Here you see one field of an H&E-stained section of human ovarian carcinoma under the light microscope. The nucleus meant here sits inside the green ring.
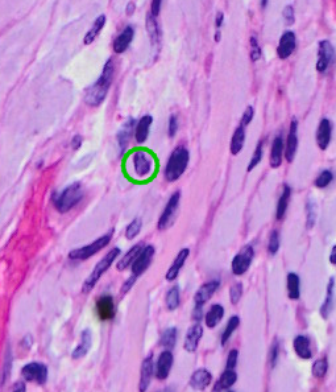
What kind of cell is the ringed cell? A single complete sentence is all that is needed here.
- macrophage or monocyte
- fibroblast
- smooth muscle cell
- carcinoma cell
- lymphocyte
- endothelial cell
Cytologically, the ringed cell is to be regarded as a lymphocyte.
